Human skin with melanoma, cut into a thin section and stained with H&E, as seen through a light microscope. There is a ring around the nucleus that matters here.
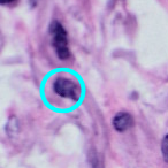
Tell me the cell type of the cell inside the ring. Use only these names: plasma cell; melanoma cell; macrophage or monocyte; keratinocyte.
plasma cell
